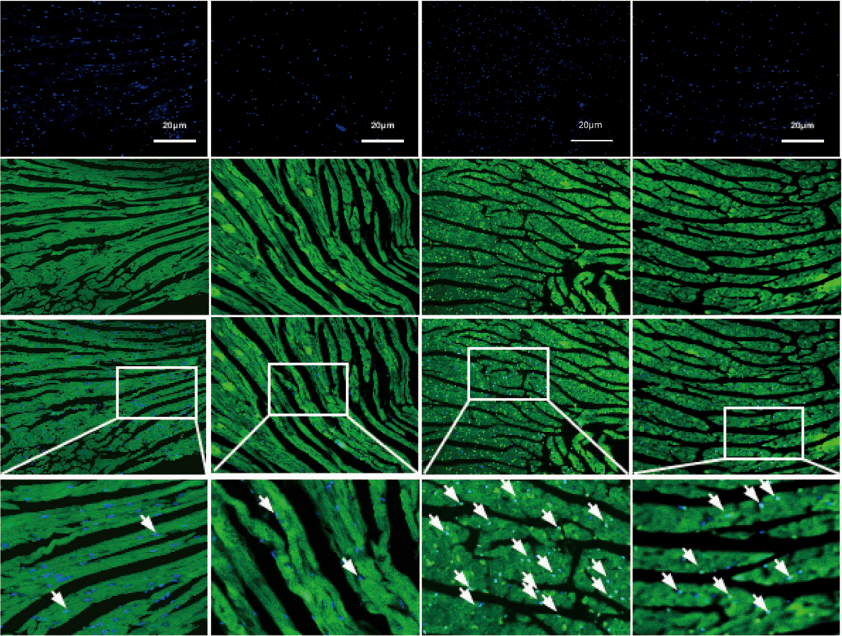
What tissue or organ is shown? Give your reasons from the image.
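Long parallel and branching muscle fibres separated by dark clefts. Nuclei scattered along the length of the fibres. So: myocardial tissue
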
